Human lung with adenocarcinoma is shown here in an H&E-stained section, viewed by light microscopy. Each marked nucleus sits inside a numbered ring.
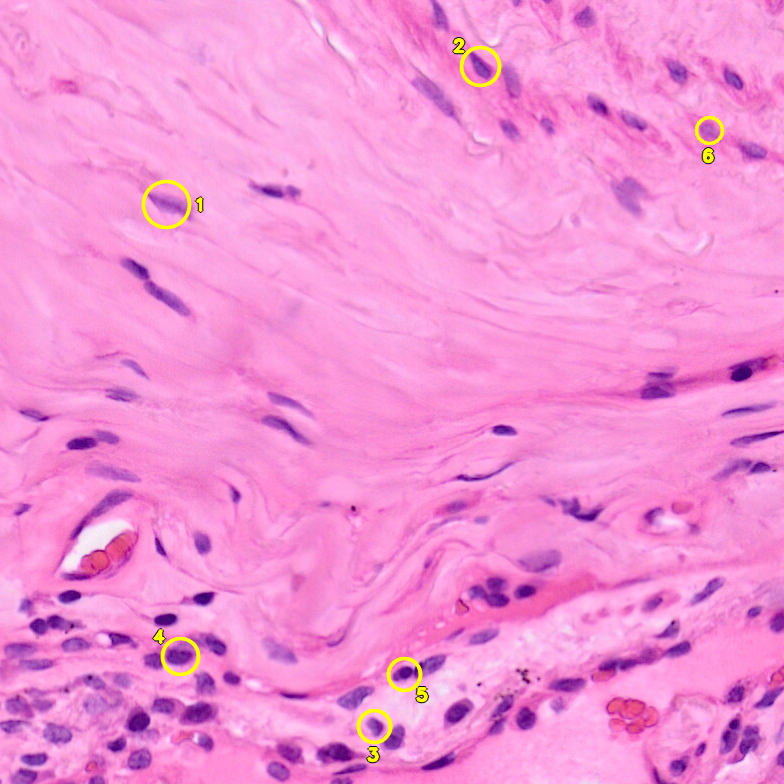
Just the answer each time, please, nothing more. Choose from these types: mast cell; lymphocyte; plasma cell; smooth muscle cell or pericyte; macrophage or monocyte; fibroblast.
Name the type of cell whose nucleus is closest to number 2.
smooth muscle cell or pericyte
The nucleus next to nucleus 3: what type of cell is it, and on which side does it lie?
a lymphocyte below and to the right of nucleus 3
